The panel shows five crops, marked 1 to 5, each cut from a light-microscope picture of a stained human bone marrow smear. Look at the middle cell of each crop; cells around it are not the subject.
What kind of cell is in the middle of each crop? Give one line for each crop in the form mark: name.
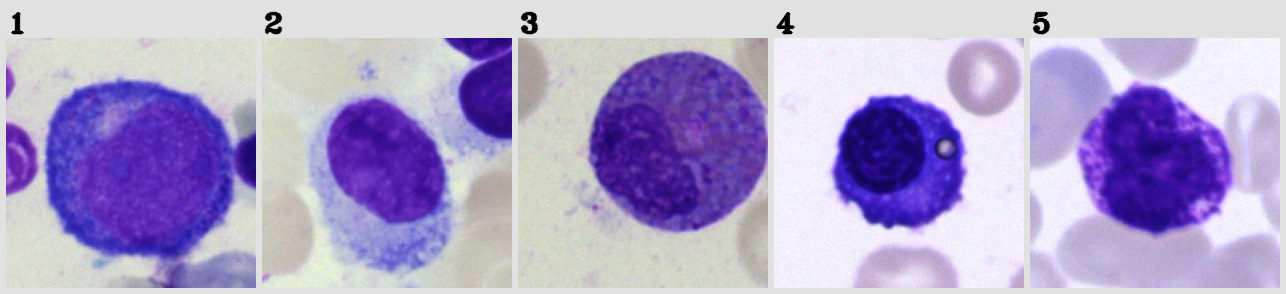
1: proerythroblast
2: hairy cell
3: eosinophil
4: plasma cell
5: basophil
